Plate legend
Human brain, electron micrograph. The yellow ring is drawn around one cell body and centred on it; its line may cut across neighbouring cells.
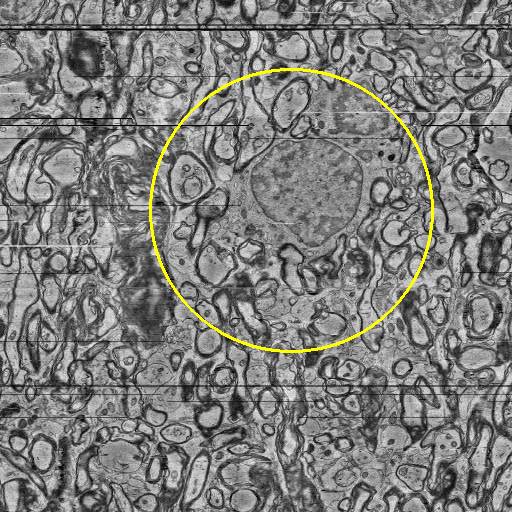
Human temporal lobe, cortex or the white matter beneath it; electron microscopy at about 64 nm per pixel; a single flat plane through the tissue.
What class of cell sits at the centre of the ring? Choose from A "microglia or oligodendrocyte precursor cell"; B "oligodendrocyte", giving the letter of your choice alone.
B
